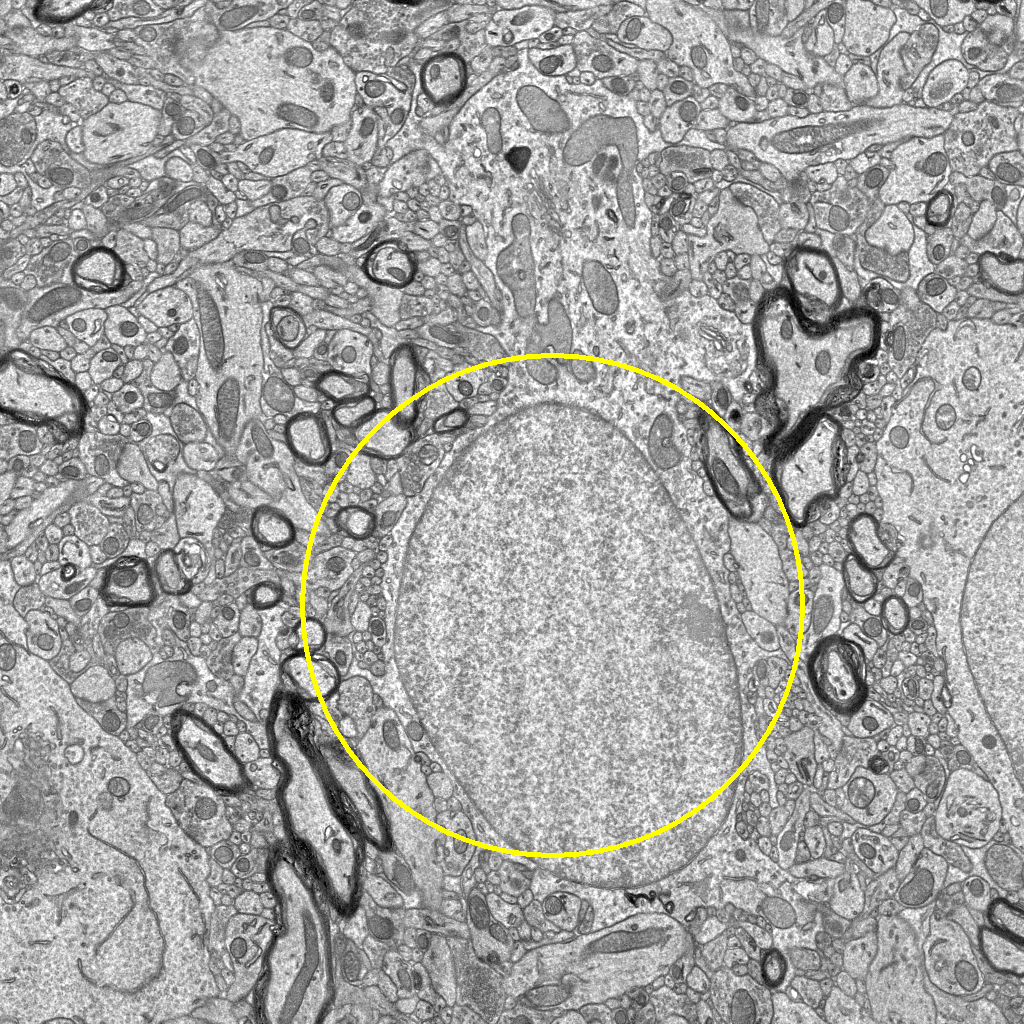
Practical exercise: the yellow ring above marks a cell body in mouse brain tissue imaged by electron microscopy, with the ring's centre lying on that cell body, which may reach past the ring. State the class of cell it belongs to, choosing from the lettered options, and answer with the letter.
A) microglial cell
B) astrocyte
B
